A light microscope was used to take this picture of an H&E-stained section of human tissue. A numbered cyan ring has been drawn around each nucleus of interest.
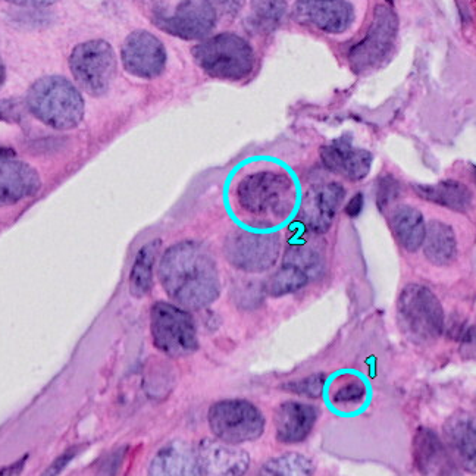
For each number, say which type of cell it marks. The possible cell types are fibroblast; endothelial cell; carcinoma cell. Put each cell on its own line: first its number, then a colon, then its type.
1: endothelial cell
2: carcinoma cell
